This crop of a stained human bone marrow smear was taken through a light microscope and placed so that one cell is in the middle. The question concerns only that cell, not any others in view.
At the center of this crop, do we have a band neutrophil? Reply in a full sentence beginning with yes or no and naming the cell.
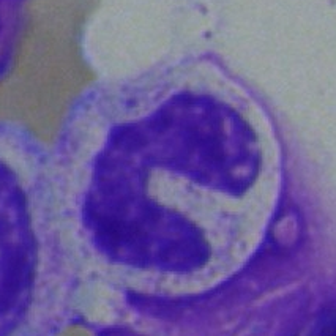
Yes, in this crop the cell in the middle is a band neutrophil.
